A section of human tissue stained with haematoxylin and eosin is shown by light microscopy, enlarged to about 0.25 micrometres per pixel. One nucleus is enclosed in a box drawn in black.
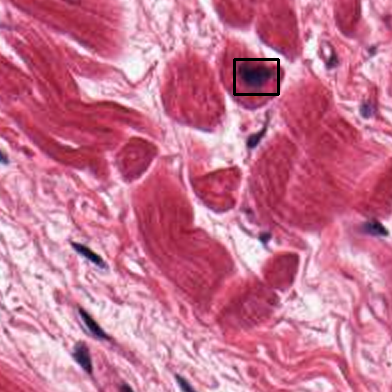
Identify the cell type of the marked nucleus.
cardiomyocyte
